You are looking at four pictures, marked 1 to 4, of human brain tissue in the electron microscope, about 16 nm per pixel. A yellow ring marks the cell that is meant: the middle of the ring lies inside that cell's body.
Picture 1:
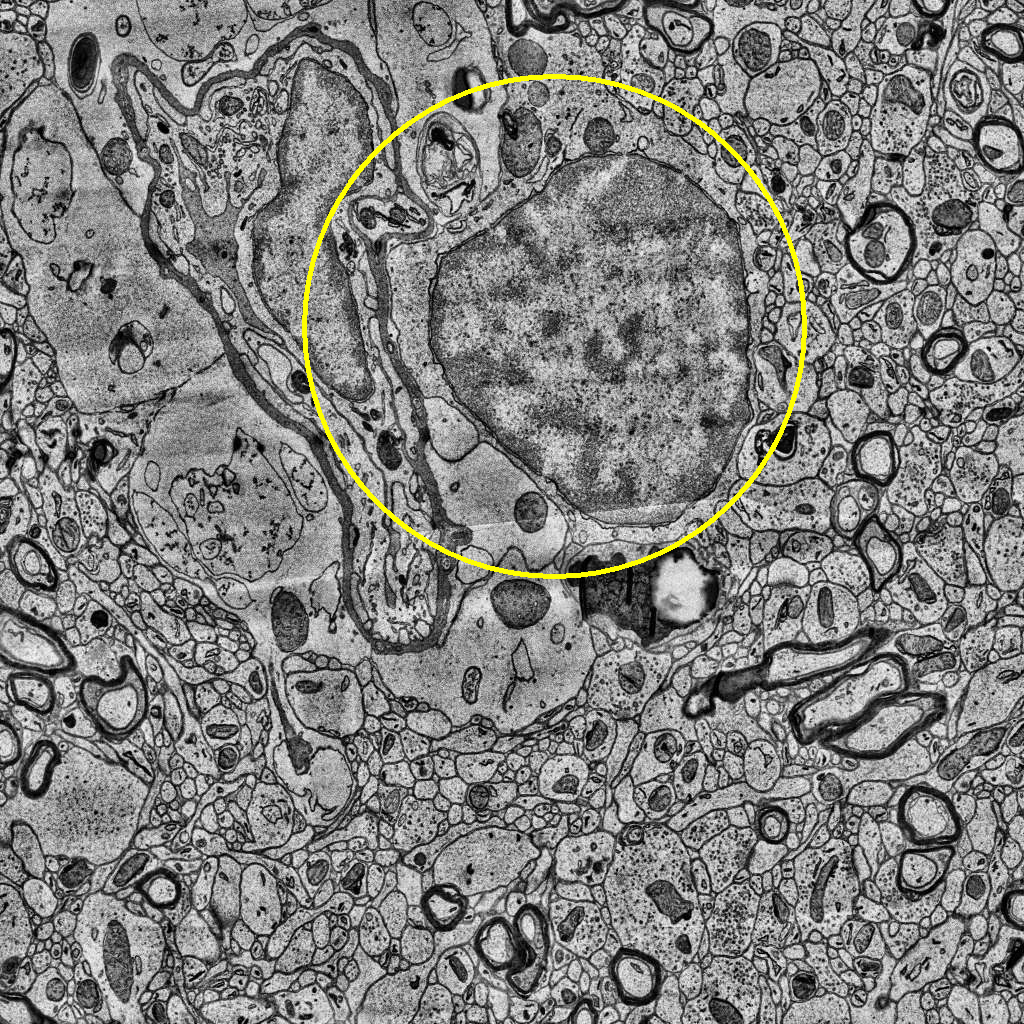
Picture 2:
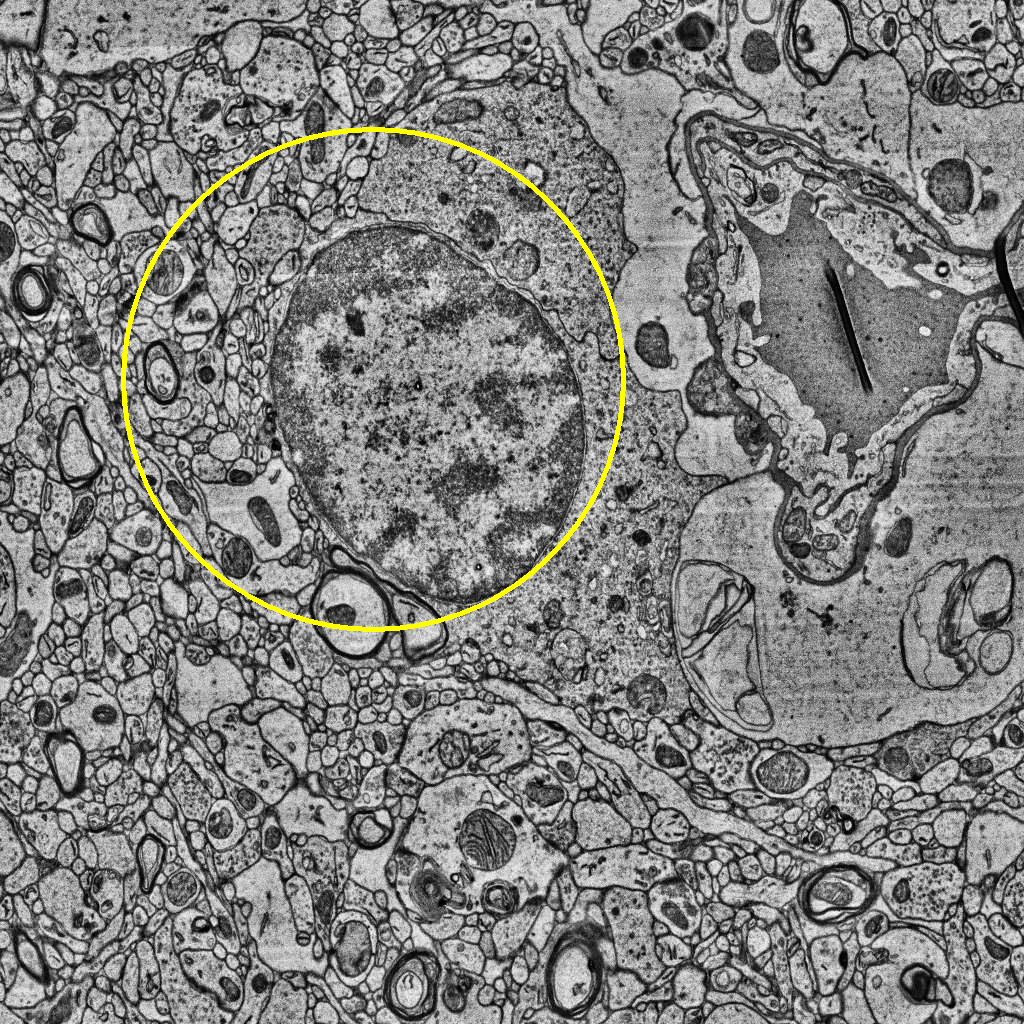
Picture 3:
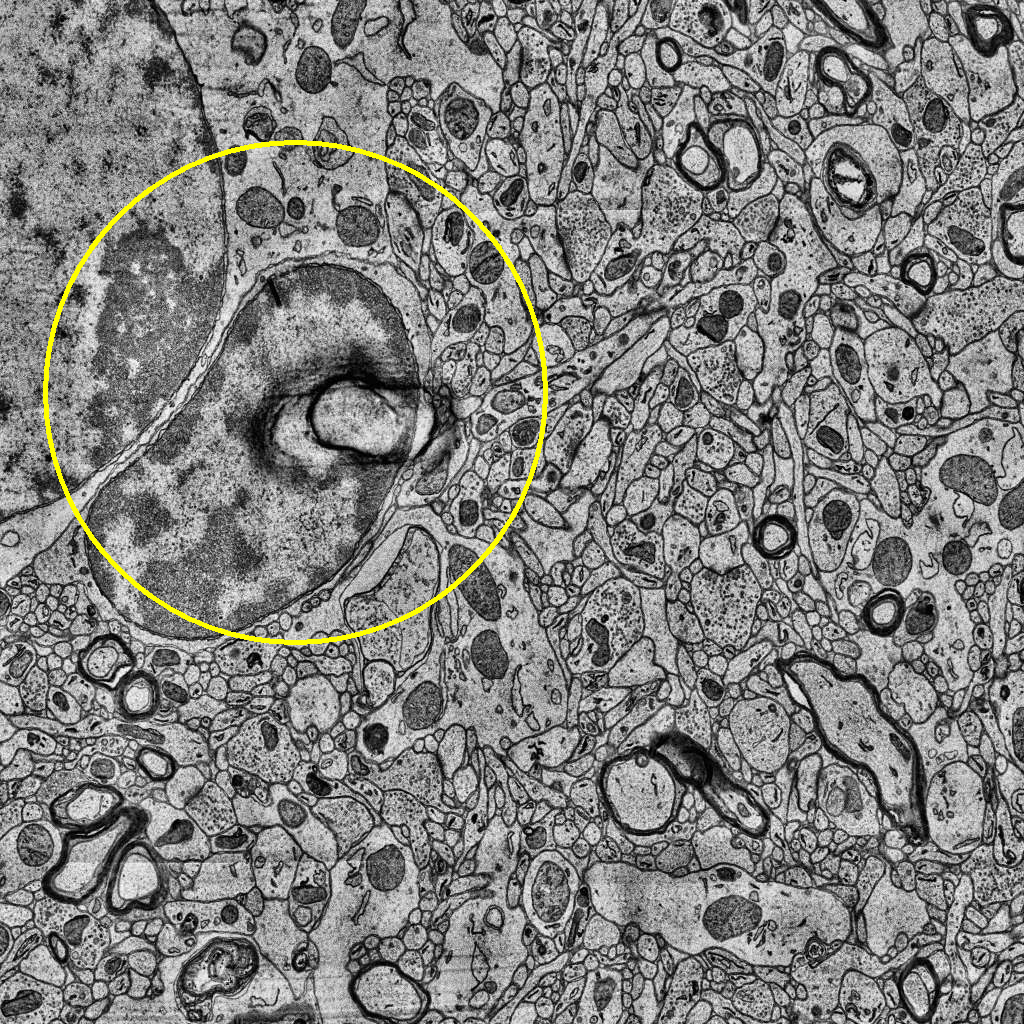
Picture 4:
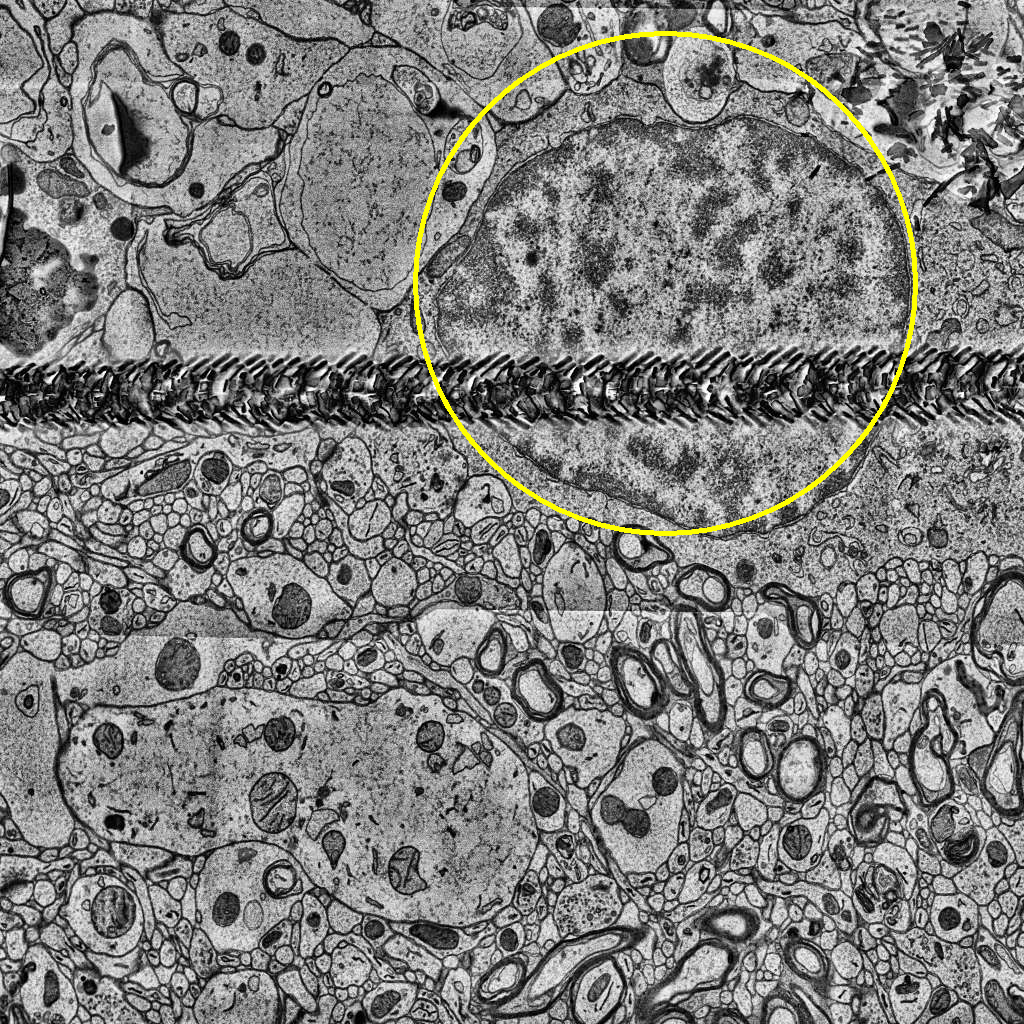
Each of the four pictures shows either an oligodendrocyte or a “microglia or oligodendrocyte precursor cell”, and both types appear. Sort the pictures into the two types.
Pictures 1, 2 and 4 show oligodendrocytes, and picture 3 shows a “microglia or oligodendrocyte precursor cell”.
